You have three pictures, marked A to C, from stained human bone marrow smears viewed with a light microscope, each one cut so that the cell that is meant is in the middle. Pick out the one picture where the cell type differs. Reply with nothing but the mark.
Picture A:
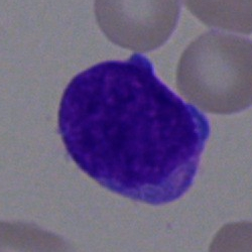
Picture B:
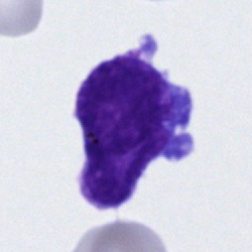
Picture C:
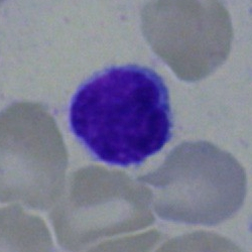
C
